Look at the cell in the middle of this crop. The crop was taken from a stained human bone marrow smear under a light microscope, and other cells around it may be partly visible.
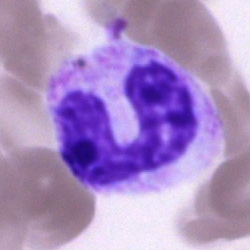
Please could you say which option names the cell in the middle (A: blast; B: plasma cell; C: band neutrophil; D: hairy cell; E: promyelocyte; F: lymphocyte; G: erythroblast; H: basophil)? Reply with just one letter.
C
